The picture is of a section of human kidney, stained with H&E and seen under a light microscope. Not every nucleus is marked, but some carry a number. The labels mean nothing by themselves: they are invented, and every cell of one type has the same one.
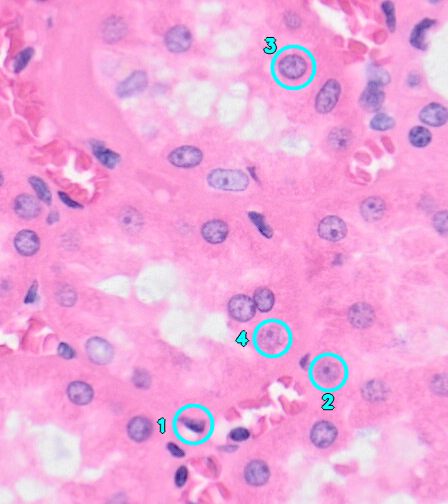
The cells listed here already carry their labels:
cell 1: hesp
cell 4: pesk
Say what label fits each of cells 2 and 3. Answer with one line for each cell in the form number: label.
2: pesk
3: pesk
